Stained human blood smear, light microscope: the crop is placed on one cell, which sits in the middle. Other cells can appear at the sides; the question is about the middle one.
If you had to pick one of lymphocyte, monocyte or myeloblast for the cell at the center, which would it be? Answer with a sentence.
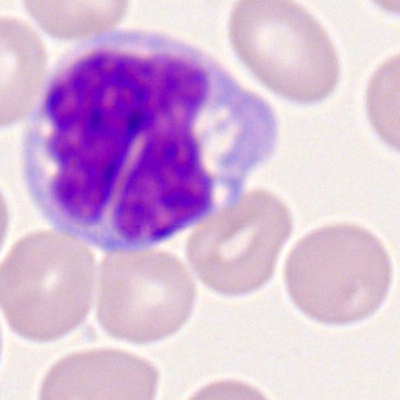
In short, the cell at the center is a monocyte.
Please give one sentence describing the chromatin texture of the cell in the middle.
One feature to record is coarsely clumped chromatin.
